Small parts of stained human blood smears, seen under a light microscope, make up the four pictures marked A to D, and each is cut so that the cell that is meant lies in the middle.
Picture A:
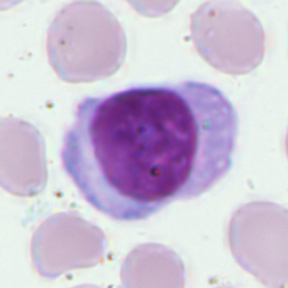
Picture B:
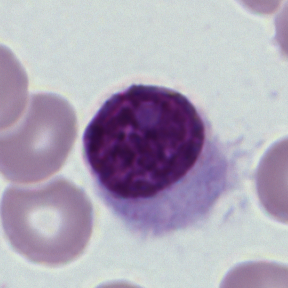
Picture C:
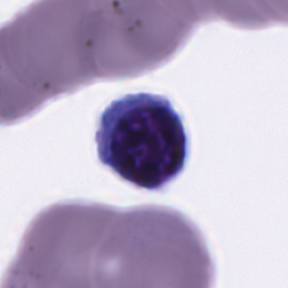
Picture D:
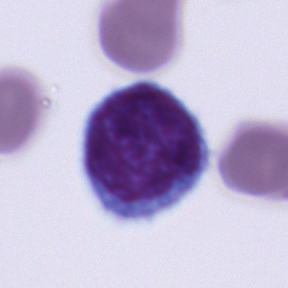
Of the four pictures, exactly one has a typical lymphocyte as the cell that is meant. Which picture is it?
D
